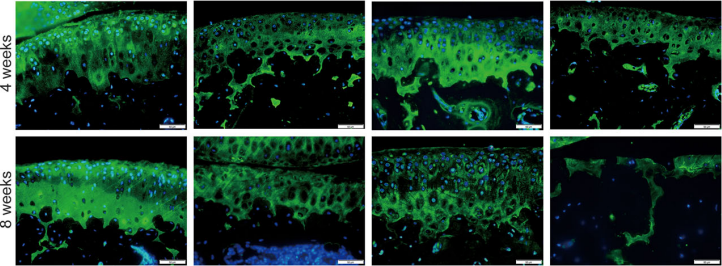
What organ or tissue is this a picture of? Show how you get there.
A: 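Cells with blue nuclei sit singly in lacunae within an abundant green matrix. The matrix forms a layer above darker, spaced-out marrow regions.
Conclusion: articular cartilage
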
